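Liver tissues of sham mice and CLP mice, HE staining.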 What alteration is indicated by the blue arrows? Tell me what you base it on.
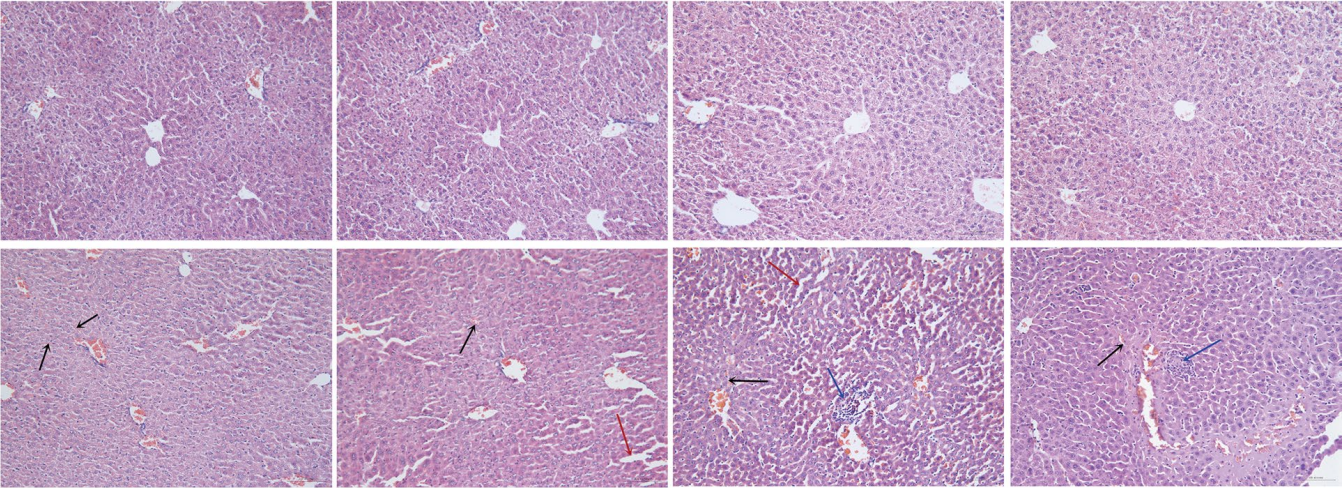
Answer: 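Inflammatory cell infiltration. The blue arrows point to dense clusters of small, dark purple nuclei. The clusters lie among the pink liver cell plates, next to a vessel.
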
